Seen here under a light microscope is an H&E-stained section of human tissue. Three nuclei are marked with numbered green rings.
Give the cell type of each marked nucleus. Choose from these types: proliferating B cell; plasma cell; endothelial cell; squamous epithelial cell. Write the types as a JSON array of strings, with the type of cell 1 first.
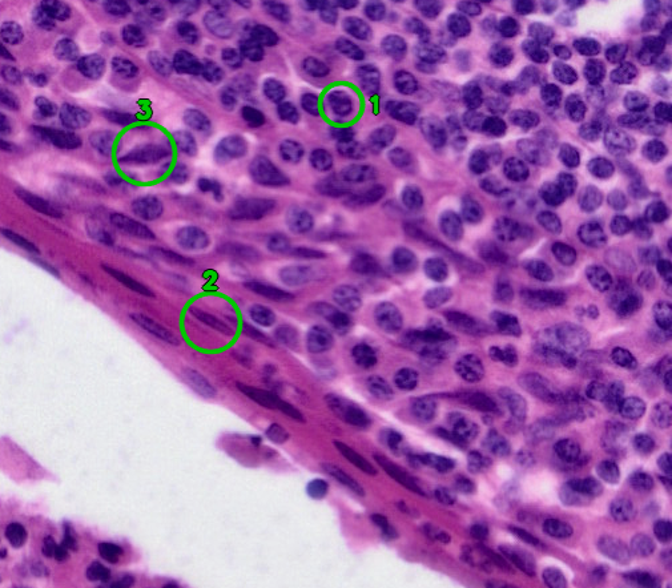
["plasma cell", "squamous epithelial cell", "squamous epithelial cell"]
